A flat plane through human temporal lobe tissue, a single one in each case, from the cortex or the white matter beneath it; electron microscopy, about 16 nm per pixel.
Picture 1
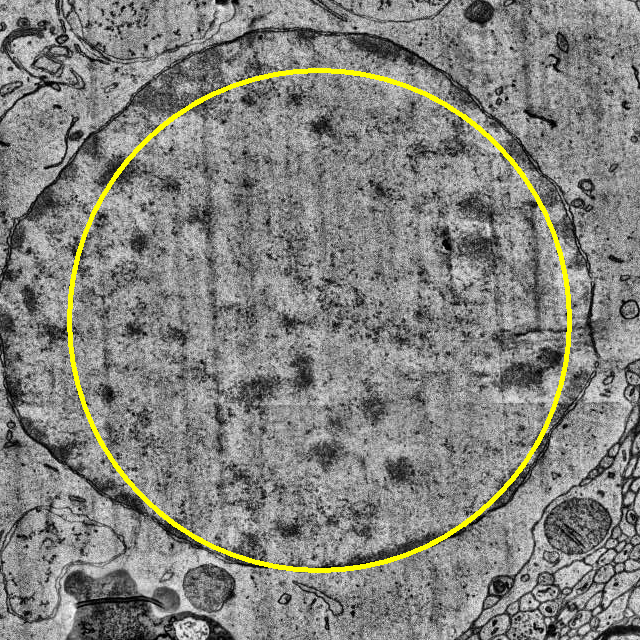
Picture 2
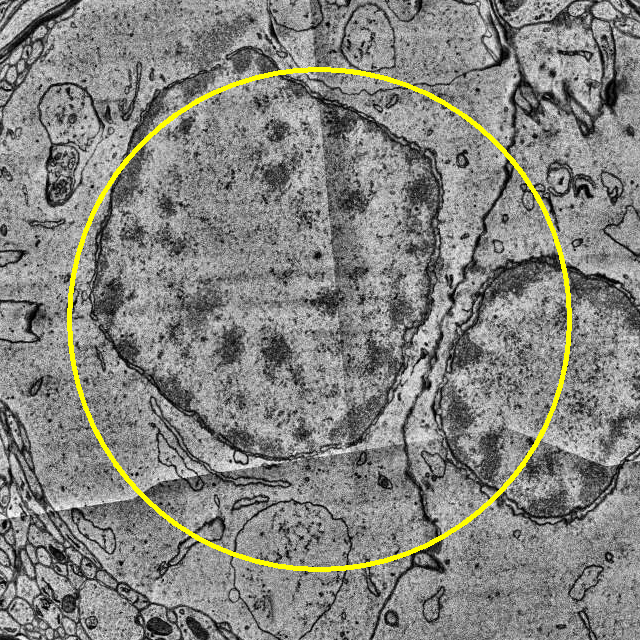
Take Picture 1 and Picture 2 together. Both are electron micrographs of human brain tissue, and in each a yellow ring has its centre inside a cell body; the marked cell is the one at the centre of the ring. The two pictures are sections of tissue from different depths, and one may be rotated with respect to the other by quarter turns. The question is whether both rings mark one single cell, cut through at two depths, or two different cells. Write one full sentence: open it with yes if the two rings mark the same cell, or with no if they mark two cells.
Yes, the second ring marks the same cell as the first.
